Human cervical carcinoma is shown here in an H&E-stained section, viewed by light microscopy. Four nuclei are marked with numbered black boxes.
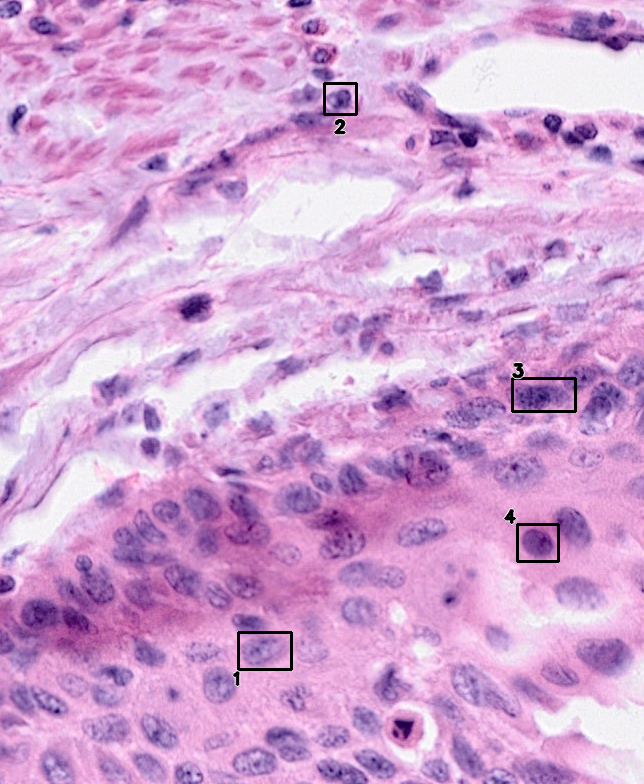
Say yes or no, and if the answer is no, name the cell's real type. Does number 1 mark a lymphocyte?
No, it is a squamous carcinoma cell.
